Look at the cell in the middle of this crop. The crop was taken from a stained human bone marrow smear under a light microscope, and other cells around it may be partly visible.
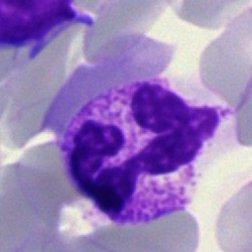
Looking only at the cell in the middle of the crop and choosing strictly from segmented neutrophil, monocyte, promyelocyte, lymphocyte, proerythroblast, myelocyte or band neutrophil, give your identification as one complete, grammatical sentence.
Standing at the centre of this crop is a segmented neutrophil.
